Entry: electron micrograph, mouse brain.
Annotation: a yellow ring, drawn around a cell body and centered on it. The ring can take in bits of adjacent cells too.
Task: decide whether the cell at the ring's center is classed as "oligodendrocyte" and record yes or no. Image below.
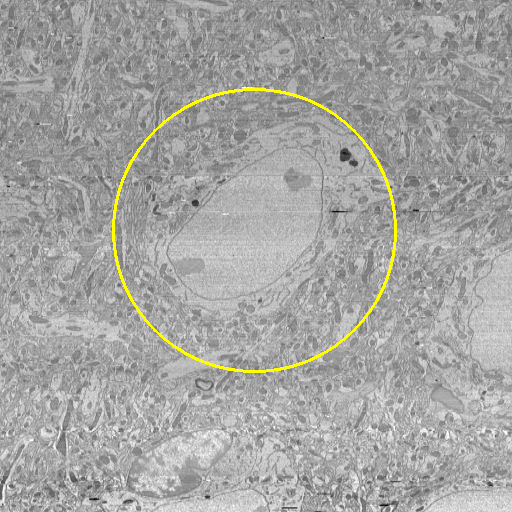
no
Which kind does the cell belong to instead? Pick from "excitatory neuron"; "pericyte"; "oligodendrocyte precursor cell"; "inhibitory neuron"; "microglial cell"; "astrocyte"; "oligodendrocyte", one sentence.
So the cell at the centre is an excitatory neuron.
